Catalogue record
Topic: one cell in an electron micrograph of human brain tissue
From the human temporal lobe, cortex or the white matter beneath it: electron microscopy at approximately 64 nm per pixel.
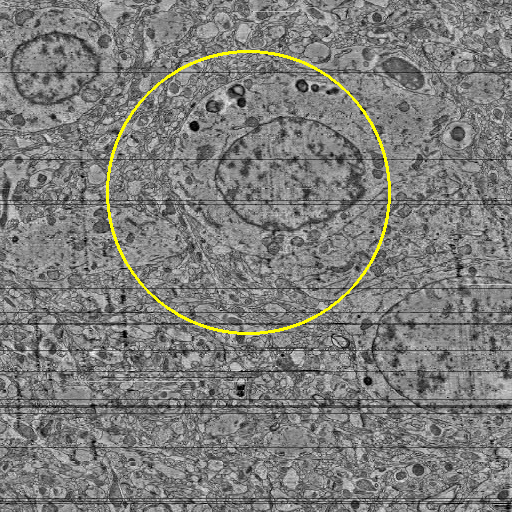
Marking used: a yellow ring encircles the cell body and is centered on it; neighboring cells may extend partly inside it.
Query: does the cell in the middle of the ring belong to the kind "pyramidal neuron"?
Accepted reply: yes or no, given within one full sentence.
Yes, the cell centered in the ring in the picture is of that kind.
